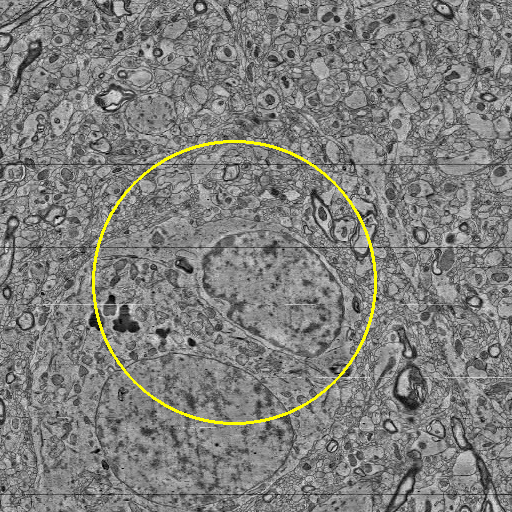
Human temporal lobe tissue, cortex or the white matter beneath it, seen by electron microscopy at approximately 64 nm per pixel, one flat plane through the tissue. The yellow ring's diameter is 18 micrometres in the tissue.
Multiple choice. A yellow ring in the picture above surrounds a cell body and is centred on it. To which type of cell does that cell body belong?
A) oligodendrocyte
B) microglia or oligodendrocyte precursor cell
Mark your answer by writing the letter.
B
